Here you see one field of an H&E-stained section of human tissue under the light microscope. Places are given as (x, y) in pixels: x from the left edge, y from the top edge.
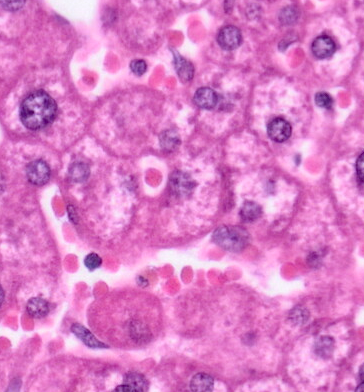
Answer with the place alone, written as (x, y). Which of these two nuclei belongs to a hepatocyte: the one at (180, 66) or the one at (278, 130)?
(278, 130)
